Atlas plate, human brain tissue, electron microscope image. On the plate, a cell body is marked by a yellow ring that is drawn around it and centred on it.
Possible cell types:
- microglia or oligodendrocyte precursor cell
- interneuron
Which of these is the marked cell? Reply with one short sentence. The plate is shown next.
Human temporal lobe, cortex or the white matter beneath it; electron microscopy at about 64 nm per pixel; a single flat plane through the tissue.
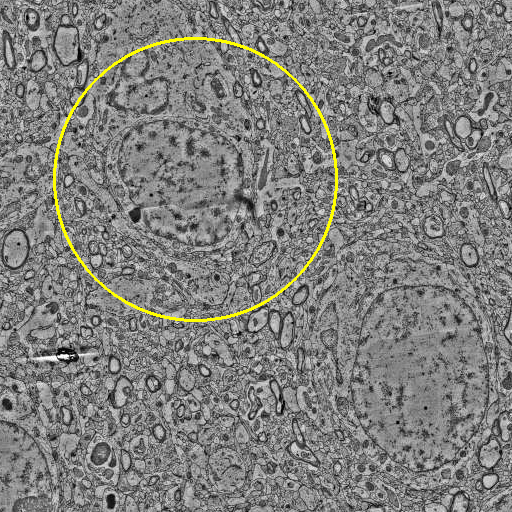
The marked cell is an interneuron.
